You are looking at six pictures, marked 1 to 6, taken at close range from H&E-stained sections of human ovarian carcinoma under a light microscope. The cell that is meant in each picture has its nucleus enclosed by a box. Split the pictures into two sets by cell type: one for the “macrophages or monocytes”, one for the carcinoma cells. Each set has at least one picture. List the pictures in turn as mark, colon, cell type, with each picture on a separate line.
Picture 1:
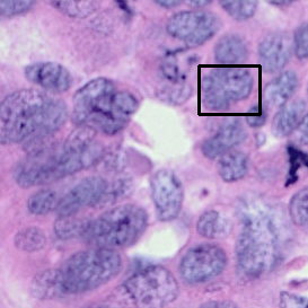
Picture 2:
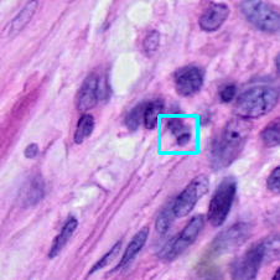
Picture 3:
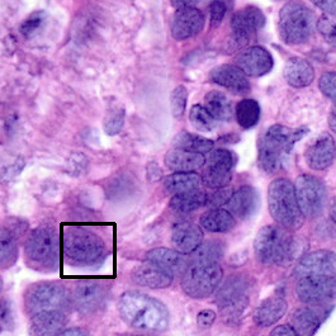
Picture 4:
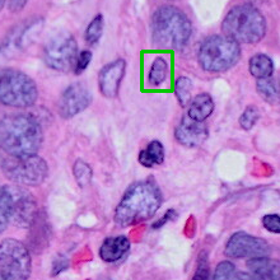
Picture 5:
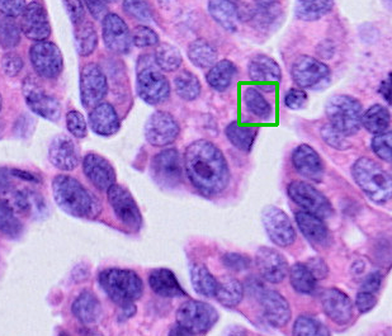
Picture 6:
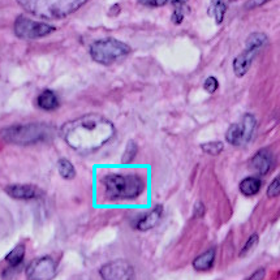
1: carcinoma cell
2: macrophage or monocyte
3: carcinoma cell
4: macrophage or monocyte
5: carcinoma cell
6: macrophage or monocyte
